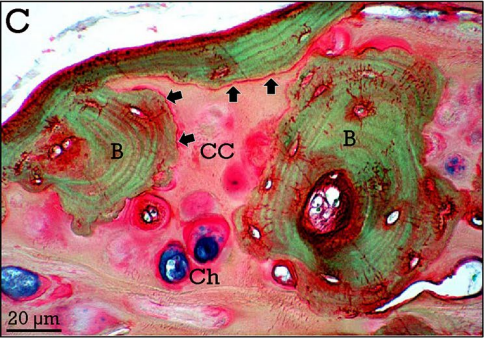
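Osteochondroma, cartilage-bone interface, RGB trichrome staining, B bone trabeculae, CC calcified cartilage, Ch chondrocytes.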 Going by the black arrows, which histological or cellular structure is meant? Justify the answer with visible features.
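Arrows point to a thin dark line at the edge of green lamellar bone. The line separates green bone from pinkish matrix.
Hence: cement lines.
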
